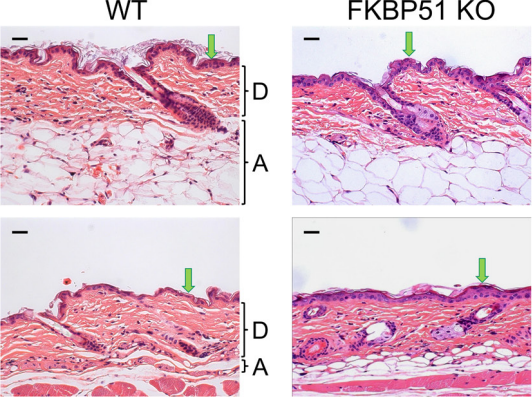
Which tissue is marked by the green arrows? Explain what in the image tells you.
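The arrows point at the thin outermost layer of the skin section. That layer is a sheet of closely packed, purple-nucleated cells resting on the pink fibrous layer below.
Epidermis.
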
